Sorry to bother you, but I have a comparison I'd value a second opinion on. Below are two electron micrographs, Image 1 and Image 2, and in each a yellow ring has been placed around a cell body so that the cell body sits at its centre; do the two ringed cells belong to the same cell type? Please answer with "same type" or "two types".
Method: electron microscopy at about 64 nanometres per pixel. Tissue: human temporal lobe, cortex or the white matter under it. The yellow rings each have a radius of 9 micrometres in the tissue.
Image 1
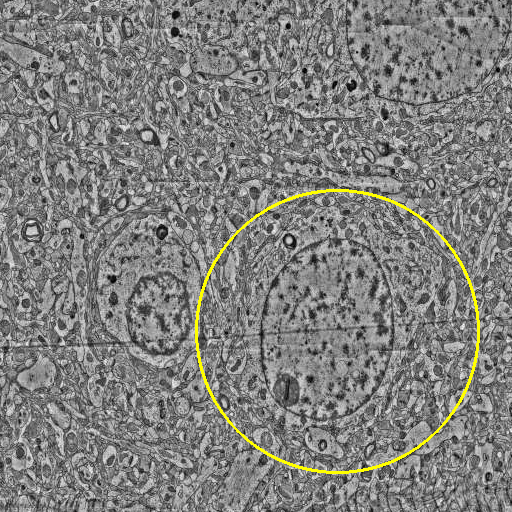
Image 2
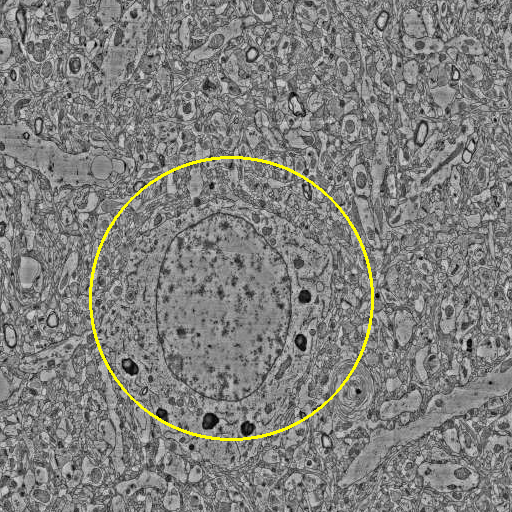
same type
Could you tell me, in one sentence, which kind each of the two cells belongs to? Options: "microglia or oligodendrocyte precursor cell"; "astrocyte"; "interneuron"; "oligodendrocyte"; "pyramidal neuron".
In each of the two pictures, the ringed cell is a pyramidal neuron.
